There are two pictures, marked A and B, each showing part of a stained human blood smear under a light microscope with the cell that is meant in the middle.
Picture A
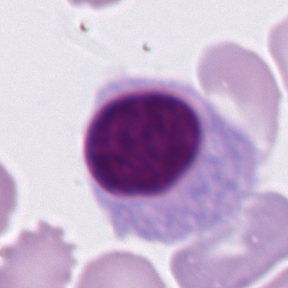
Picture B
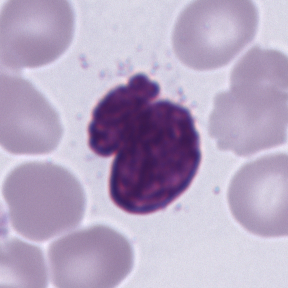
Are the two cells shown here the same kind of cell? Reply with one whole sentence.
No, the types are not the same, since picture A shows a hairy cell and picture B a smudge cell.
